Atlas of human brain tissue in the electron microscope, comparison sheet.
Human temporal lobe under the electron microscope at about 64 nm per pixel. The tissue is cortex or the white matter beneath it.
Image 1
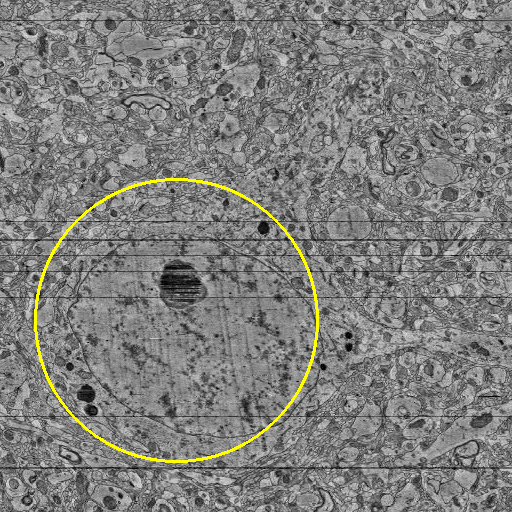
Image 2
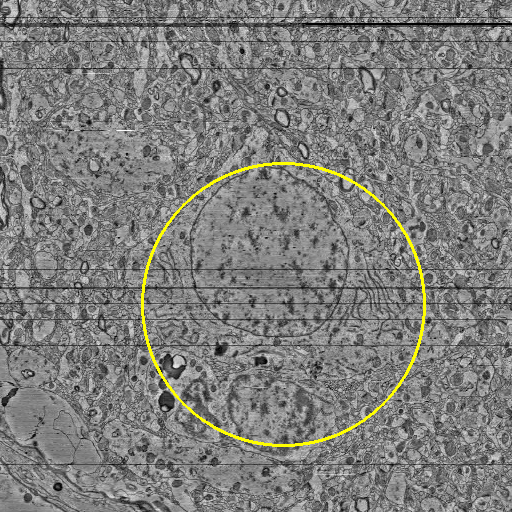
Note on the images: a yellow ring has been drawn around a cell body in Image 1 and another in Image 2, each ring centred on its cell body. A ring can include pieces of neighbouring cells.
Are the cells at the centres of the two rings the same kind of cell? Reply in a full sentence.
Yes, both cells are of the same kind.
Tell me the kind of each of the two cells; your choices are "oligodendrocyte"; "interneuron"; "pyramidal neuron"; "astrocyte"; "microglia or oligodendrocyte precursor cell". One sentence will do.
Each of the two rings surrounds a pyramidal neuron.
